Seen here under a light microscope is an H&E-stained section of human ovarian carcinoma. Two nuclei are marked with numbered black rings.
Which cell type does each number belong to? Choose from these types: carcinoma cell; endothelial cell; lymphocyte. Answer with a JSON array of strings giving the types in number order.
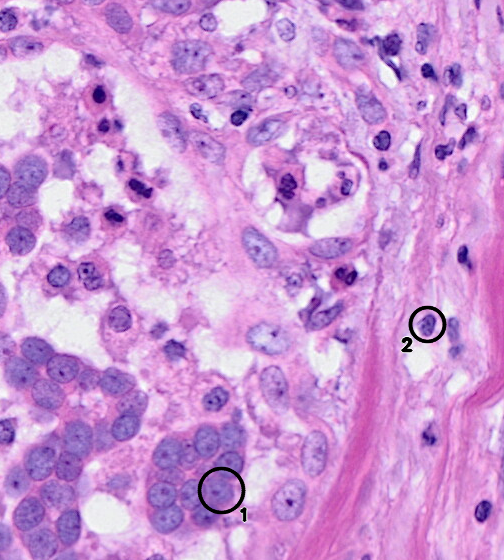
["carcinoma cell", "lymphocyte"]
